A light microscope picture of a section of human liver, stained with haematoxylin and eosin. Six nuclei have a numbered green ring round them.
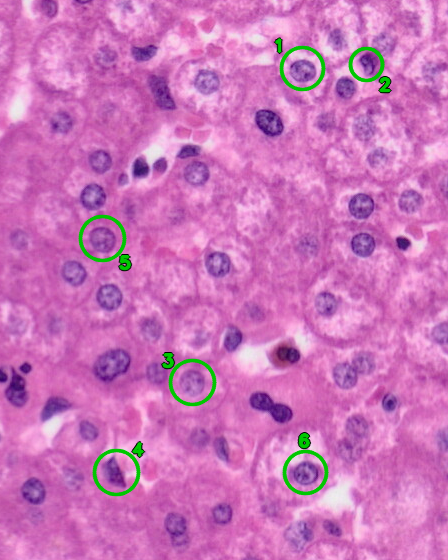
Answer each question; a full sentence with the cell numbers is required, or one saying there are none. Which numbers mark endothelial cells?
Cell 4 is an endothelial cell; the remaining numbered cells are not.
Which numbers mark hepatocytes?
The cells with numbers 1, 3, 5 and 6 are hepatocytes by type.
